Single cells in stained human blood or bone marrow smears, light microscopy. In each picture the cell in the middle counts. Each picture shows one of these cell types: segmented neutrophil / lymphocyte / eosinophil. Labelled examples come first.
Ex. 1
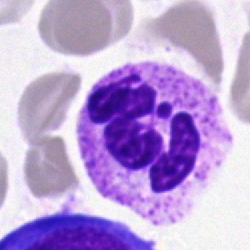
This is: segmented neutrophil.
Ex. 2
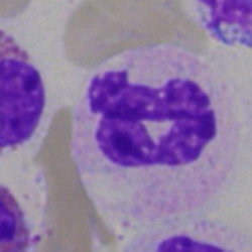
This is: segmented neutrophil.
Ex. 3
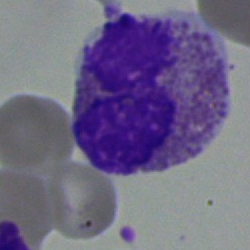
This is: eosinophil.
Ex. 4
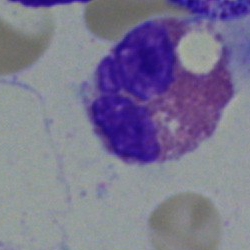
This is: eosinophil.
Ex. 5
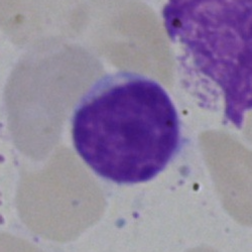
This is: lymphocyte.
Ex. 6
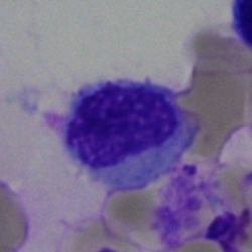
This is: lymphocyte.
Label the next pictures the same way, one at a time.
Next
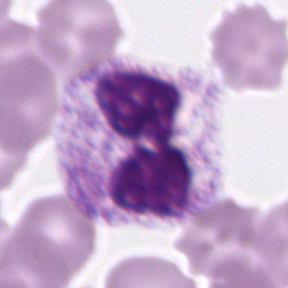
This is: segmented neutrophil.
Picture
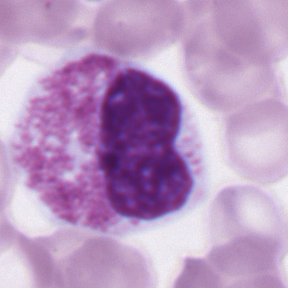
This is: eosinophil.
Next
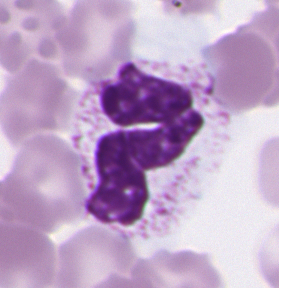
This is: segmented neutrophil.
